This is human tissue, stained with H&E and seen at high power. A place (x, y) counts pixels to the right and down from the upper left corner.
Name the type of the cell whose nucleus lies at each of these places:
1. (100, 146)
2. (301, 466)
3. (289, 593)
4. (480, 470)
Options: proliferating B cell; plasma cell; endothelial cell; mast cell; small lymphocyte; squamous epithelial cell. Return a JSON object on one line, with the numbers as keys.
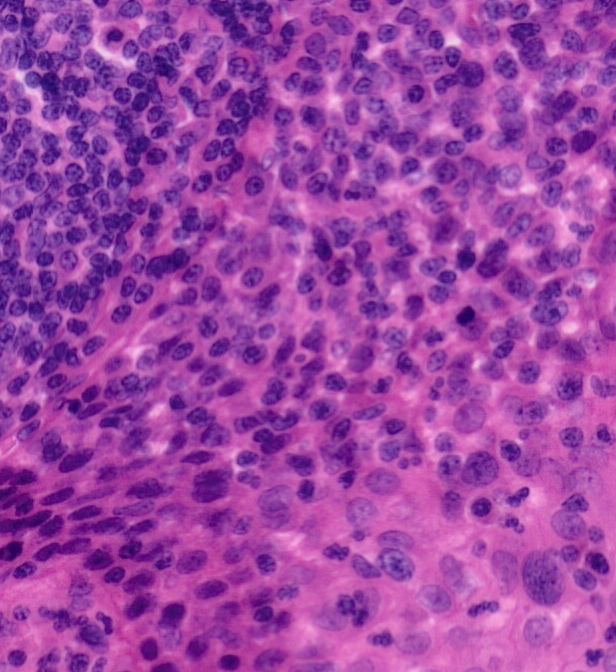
{"1": "small lymphocyte", "2": "squamous epithelial cell", "3": "squamous epithelial cell", "4": "squamous epithelial cell"}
